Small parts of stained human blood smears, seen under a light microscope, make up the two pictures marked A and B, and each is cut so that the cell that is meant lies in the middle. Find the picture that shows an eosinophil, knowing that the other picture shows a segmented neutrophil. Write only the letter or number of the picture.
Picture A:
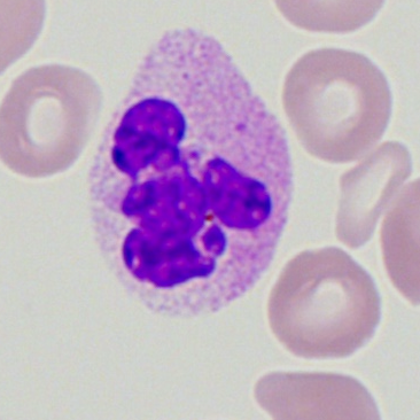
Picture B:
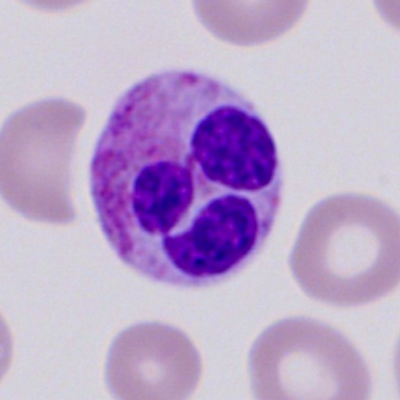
B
